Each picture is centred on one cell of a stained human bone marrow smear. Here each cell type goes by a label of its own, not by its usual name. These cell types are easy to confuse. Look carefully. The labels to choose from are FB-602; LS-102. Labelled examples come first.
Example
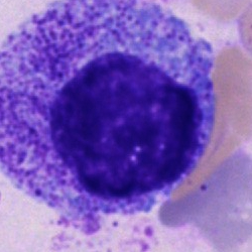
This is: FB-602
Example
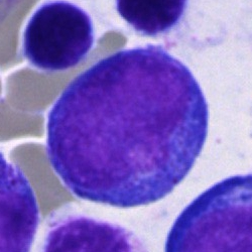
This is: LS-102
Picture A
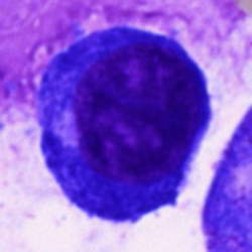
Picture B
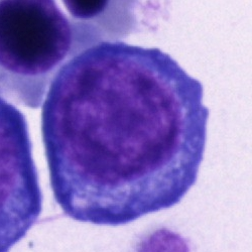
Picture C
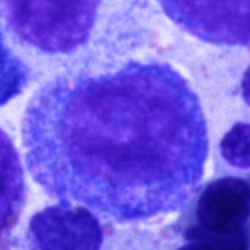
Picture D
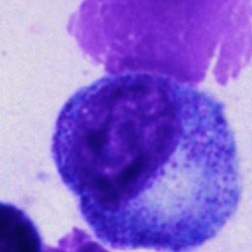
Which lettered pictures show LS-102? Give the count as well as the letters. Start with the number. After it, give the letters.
2, namely A, B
